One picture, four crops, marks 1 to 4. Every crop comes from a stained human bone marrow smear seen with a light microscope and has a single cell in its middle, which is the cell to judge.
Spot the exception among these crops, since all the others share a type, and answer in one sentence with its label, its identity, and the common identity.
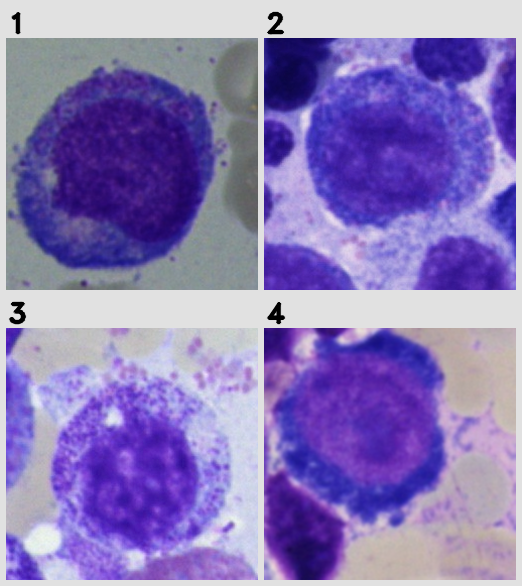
All crops show promyelocytes except crop 4, which is a proerythroblast.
